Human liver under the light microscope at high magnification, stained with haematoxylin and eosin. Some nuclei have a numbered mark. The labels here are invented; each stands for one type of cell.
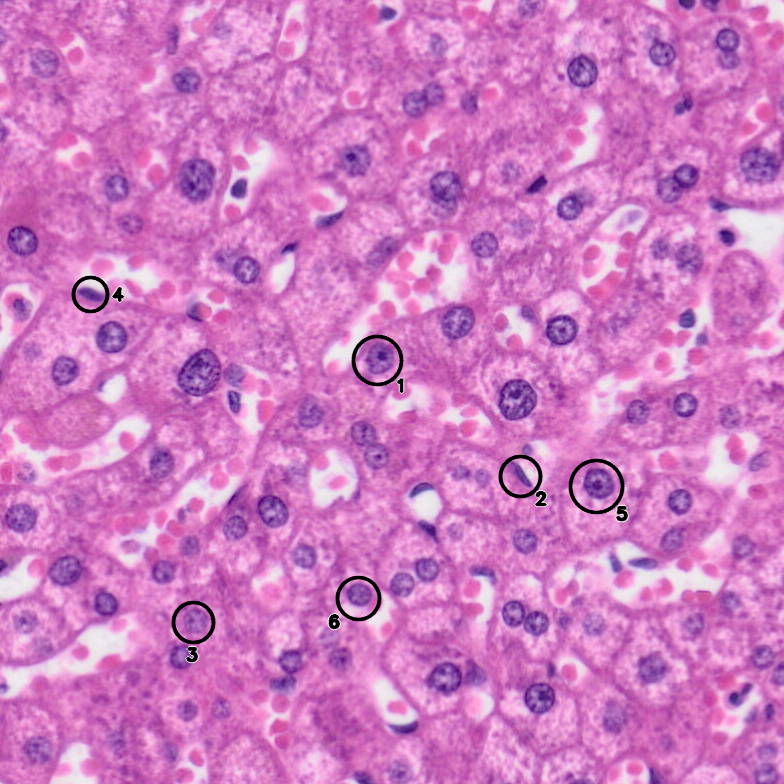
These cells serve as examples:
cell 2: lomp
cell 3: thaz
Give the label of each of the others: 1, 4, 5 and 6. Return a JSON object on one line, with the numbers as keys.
{"1": "thaz", "4": "lomp", "5": "thaz", "6": "thaz"}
